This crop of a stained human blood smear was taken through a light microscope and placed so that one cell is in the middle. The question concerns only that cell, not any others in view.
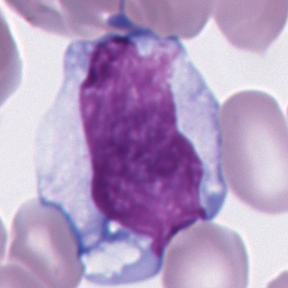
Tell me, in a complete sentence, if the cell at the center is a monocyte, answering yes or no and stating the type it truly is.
Yes, a monocyte is present in the middle of the crop.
